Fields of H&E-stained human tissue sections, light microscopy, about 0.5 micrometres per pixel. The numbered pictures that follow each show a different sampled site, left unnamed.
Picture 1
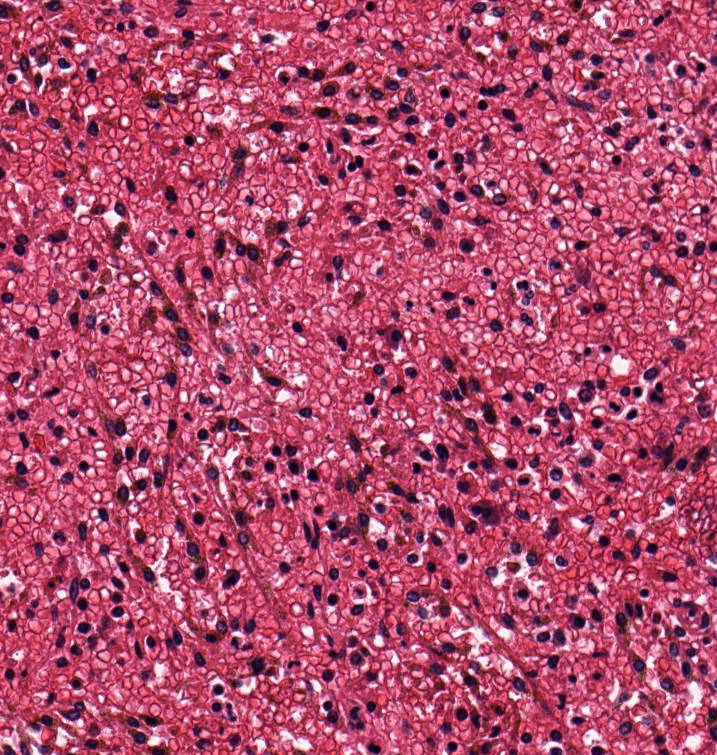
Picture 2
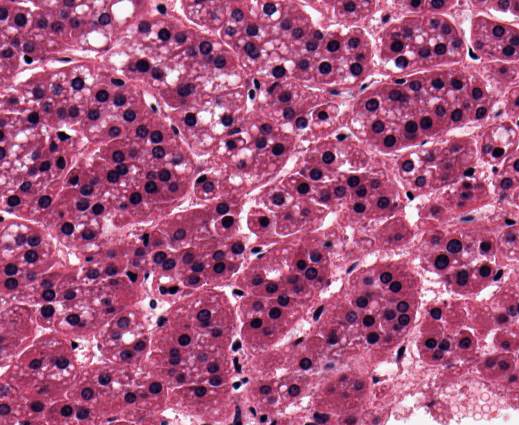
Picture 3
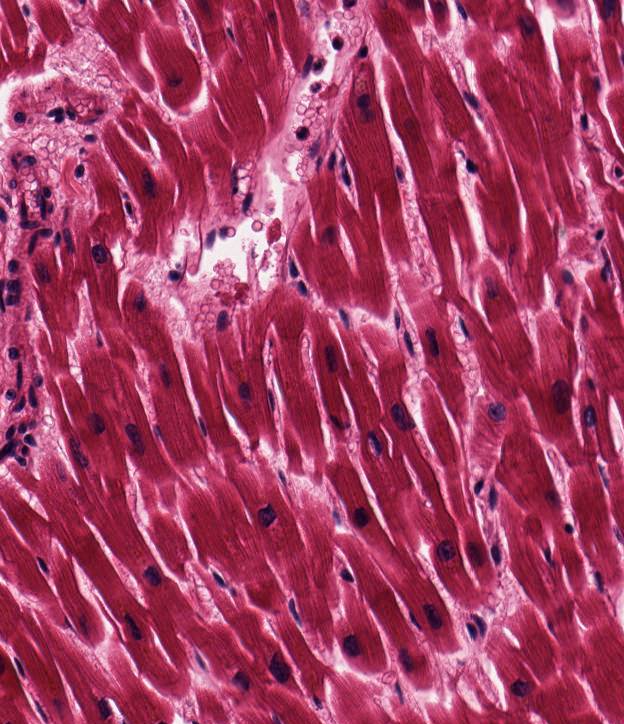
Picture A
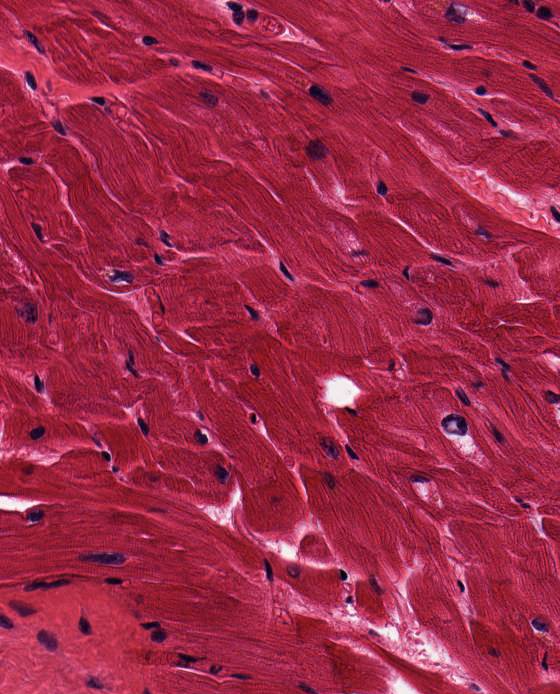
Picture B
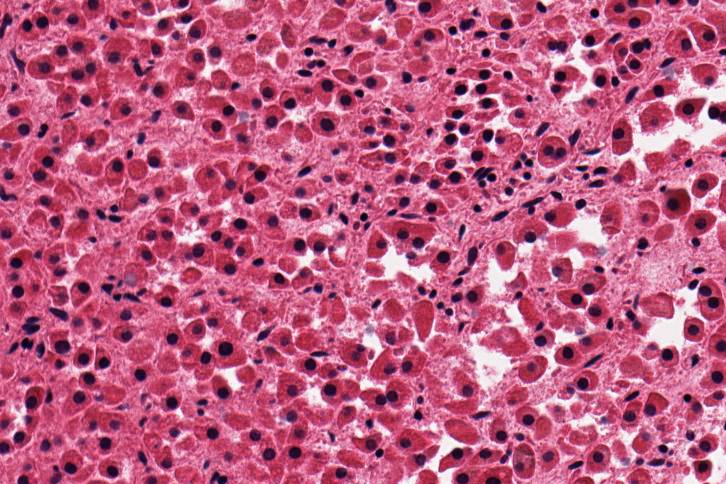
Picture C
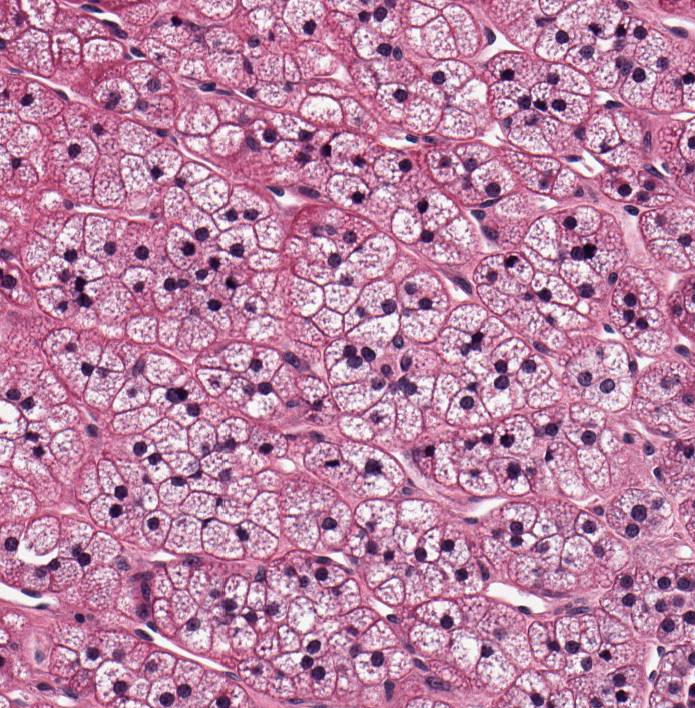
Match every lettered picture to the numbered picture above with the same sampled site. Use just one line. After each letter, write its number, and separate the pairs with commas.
A 3, B 2, C 2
